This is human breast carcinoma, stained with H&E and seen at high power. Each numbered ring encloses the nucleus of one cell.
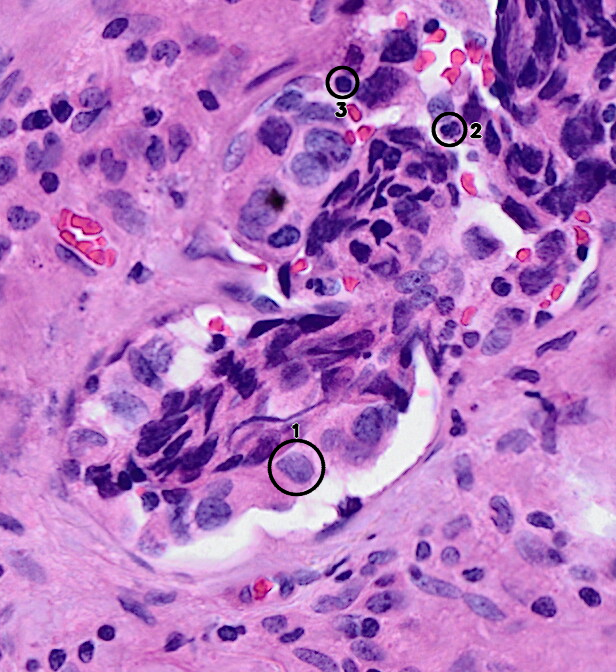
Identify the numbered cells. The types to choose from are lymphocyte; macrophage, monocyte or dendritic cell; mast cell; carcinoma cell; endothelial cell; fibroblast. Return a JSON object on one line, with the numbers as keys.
{"1": "carcinoma cell", "2": "lymphocyte", "3": "lymphocyte"}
